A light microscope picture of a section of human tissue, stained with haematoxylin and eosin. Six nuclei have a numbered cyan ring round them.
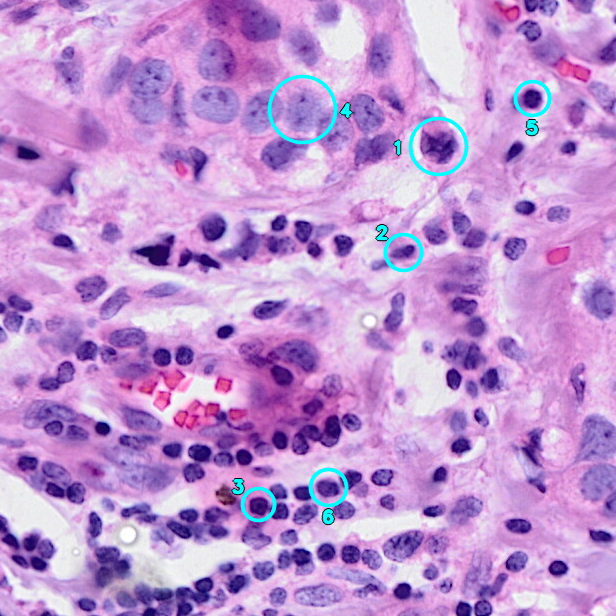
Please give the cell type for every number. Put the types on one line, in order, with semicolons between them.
carcinoma cell; lymphocyte; lymphocyte; carcinoma cell; lymphocyte; lymphocyte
